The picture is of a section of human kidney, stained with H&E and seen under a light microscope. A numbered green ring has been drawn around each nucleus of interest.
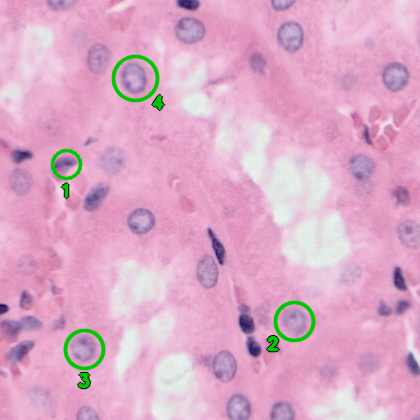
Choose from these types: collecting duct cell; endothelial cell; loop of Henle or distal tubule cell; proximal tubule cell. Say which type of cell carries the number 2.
proximal tubule cell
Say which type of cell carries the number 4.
proximal tubule cell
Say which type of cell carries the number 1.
endothelial cell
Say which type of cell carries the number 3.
proximal tubule cell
